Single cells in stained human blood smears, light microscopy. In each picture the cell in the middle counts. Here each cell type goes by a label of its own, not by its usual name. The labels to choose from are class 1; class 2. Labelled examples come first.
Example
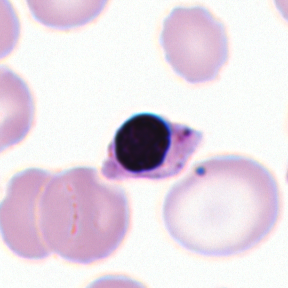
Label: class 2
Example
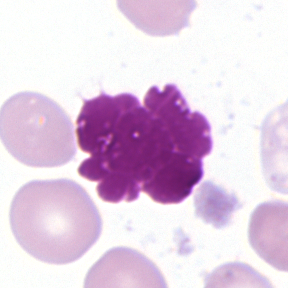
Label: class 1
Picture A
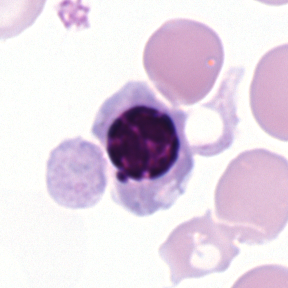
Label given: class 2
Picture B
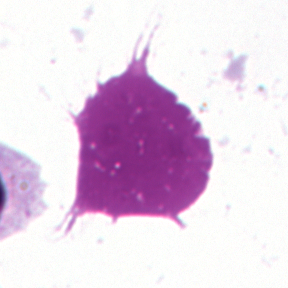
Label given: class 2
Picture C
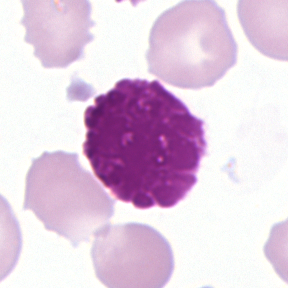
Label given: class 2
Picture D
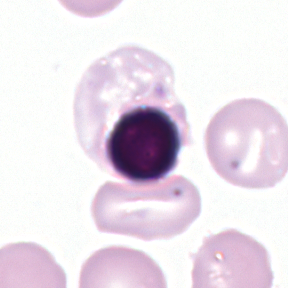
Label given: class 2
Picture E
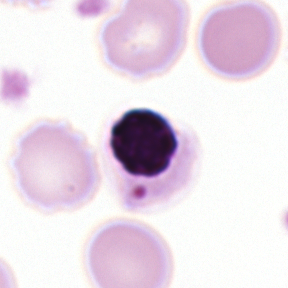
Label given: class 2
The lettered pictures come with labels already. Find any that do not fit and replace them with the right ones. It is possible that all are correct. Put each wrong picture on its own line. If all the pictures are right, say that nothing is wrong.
B: class 1, not class 2
C: class 1, not class 2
